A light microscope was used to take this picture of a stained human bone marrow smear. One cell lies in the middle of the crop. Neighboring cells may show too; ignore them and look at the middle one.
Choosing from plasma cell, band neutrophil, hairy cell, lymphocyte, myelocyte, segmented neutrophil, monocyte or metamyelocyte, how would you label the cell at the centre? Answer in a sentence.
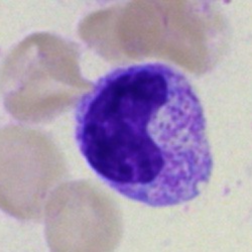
The cell nearest the centre of this crop is a band neutrophil.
